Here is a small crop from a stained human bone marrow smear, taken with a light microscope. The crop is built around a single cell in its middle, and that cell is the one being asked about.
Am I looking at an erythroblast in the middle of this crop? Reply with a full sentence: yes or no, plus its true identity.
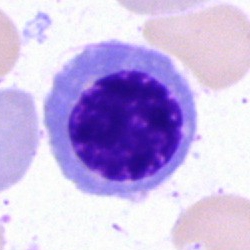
Yes, the cell placed centrally within the crop is an erythroblast.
